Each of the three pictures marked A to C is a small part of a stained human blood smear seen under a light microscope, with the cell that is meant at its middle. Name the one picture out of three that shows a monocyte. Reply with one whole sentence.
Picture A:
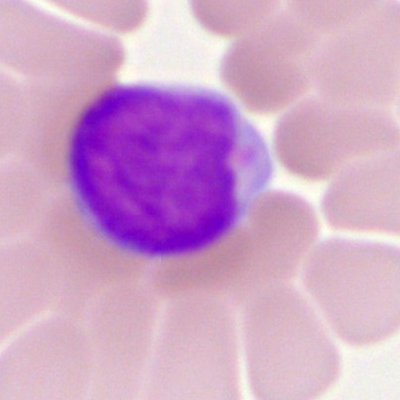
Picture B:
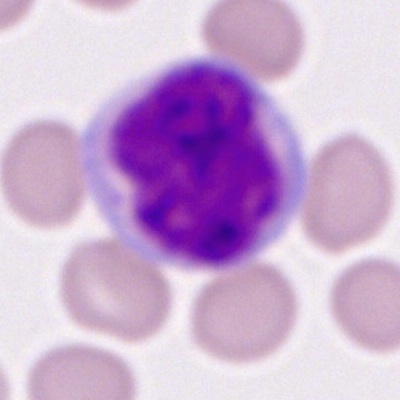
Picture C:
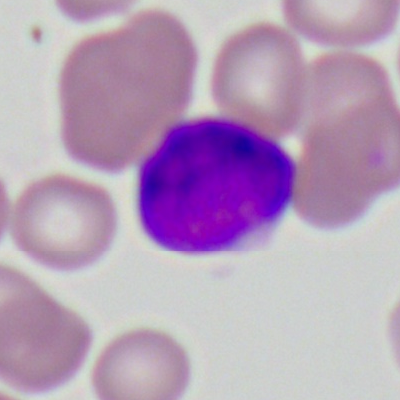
The cell in picture B is the monocyte.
